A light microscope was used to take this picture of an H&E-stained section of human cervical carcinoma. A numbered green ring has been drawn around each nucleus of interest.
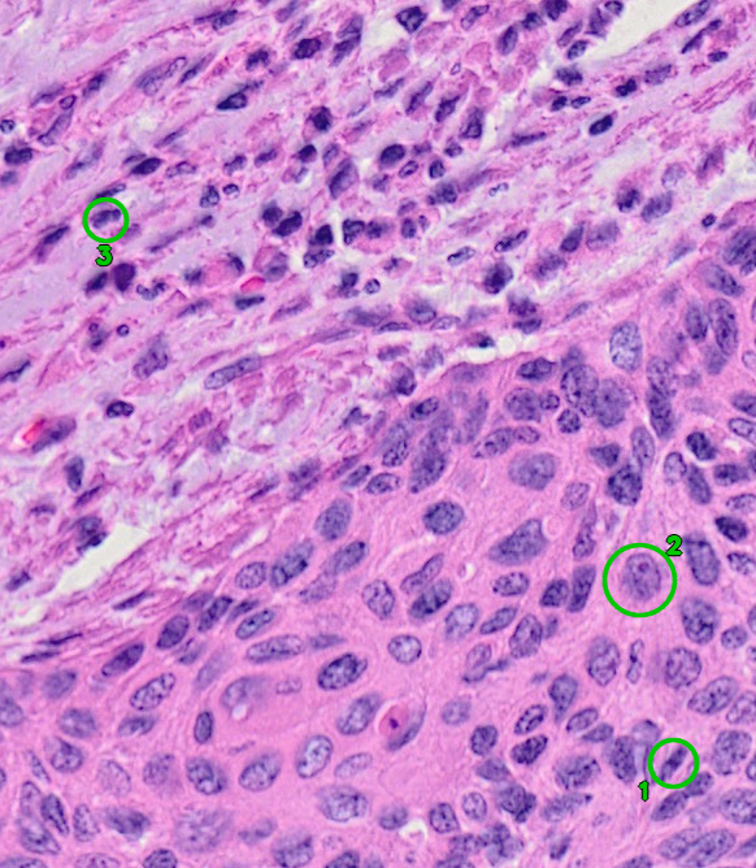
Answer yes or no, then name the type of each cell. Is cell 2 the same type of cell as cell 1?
Yes, both are squamous carcinoma cells.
